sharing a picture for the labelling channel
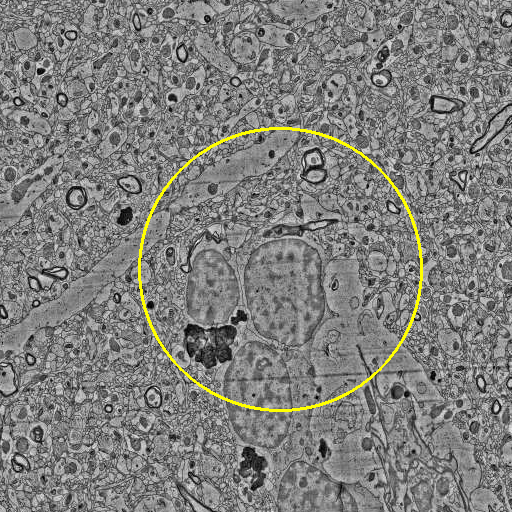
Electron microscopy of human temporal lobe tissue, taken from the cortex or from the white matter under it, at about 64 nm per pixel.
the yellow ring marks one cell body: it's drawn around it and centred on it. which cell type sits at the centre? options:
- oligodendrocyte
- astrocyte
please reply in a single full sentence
In the picture, the cell at the ring's centre is an oligodendrocyte, going by the list.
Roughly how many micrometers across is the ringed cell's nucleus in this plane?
About 7 by 6 micrometers, in this plane.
